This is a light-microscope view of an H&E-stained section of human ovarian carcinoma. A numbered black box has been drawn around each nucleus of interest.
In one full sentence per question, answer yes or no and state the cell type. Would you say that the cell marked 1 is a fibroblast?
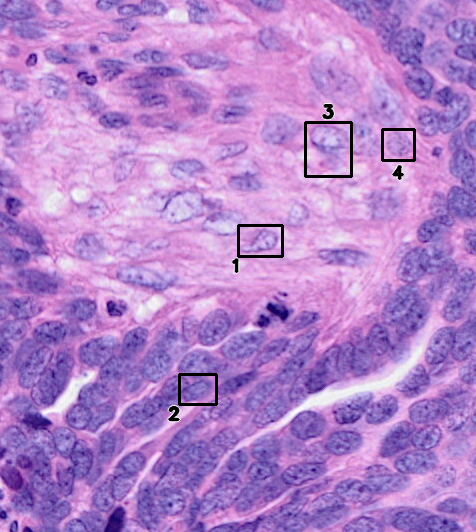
Yes, in the section, number 1 is a fibroblast.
